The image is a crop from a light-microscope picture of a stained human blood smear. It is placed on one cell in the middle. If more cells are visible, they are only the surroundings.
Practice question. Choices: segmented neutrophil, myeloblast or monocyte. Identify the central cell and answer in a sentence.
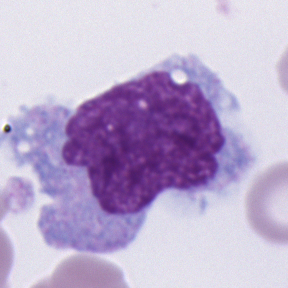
The centered cell in this crop is a monocyte.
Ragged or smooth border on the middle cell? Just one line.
Around its circumference, the cell has an uneven edge, ragged or projecting in places.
